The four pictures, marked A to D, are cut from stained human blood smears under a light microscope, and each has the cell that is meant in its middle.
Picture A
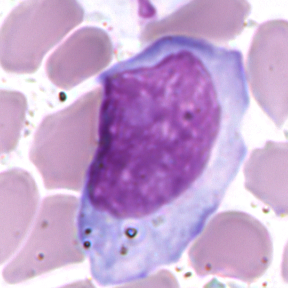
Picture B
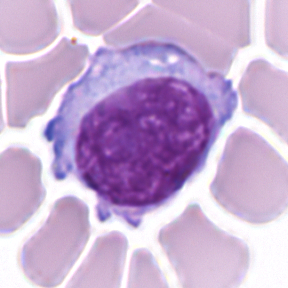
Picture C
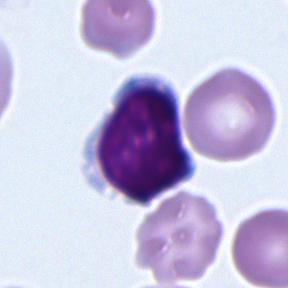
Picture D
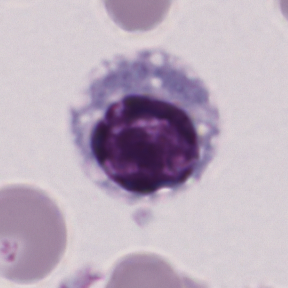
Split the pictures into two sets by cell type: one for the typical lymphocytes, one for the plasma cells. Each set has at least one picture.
A: plasma cell
B: plasma cell
C: typical lymphocyte
D: plasma cell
